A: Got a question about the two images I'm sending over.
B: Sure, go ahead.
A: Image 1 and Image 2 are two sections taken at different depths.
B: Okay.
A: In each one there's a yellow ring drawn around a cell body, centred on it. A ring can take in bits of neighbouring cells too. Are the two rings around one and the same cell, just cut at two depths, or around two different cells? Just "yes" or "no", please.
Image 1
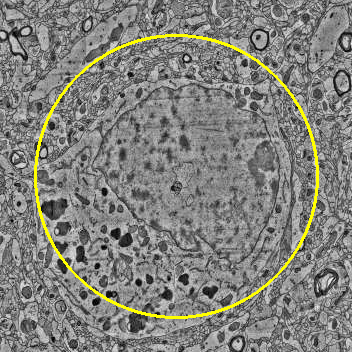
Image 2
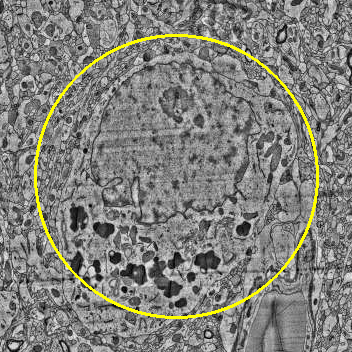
no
